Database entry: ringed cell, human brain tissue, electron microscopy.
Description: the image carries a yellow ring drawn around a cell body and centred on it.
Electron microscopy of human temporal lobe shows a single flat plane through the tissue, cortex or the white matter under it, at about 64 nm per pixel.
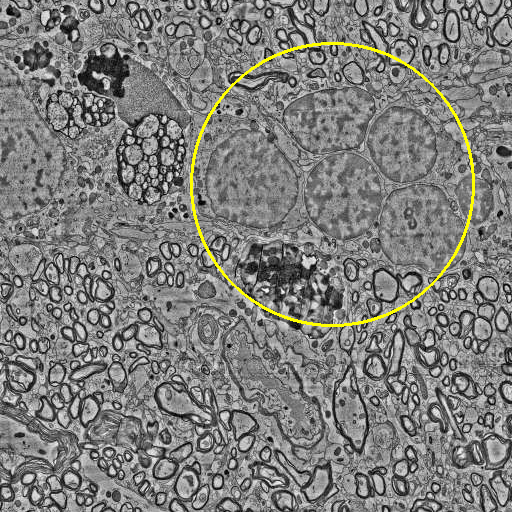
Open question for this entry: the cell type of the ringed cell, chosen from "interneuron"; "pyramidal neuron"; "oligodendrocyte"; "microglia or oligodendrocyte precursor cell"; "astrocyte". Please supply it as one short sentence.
The ringed cell is an oligodendrocyte.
